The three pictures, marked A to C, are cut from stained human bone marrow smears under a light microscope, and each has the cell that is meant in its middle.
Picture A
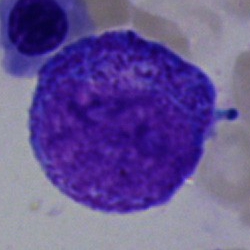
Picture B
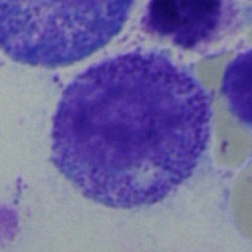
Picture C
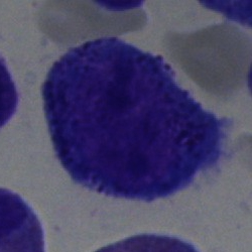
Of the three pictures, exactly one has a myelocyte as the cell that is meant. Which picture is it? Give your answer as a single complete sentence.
The picture with the myelocyte is B.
